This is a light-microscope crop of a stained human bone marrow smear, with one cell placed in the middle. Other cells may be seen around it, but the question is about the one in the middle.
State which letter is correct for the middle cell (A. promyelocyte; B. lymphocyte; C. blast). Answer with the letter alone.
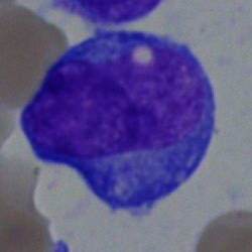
C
